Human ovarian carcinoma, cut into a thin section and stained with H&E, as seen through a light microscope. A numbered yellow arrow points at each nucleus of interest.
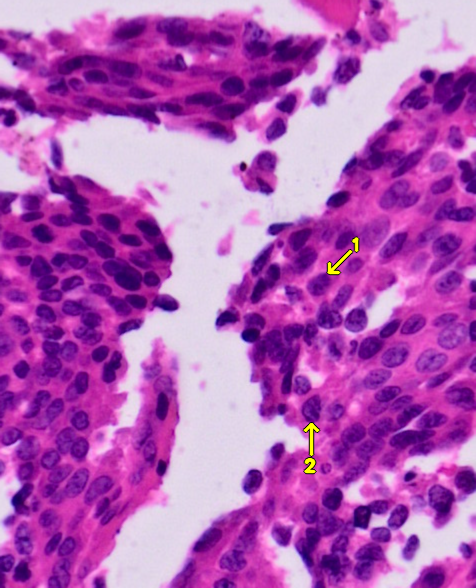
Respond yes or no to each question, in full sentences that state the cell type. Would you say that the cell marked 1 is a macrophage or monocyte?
No, cell 1 is not to be taken for a macrophage or monocyte; it is a carcinoma cell.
